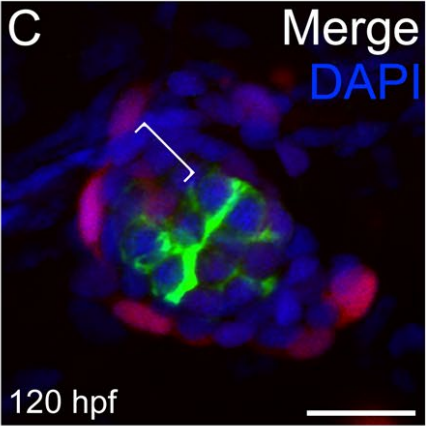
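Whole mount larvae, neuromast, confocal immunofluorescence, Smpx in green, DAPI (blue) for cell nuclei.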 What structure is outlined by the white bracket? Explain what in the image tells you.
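The bracket spans a band of blue nuclei between the red peripheral cells and the green central cluster. The bracketed band carries neither green nor strong red.
Conclusion: presumptive accessory cell layers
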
